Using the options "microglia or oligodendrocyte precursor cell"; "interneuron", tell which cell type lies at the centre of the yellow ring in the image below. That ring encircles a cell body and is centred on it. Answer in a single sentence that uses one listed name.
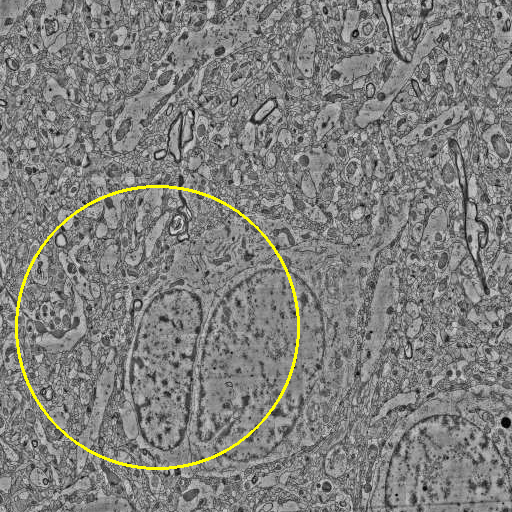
At the centre of the yellow ring lies the body of a microglial cell or oligodendrocyte precursor cell.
